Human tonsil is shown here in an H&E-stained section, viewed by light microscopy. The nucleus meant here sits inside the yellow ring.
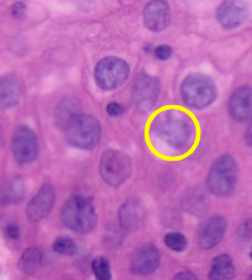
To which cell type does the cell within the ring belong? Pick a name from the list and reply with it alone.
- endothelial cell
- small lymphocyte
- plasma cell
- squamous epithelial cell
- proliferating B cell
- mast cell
squamous epithelial cell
